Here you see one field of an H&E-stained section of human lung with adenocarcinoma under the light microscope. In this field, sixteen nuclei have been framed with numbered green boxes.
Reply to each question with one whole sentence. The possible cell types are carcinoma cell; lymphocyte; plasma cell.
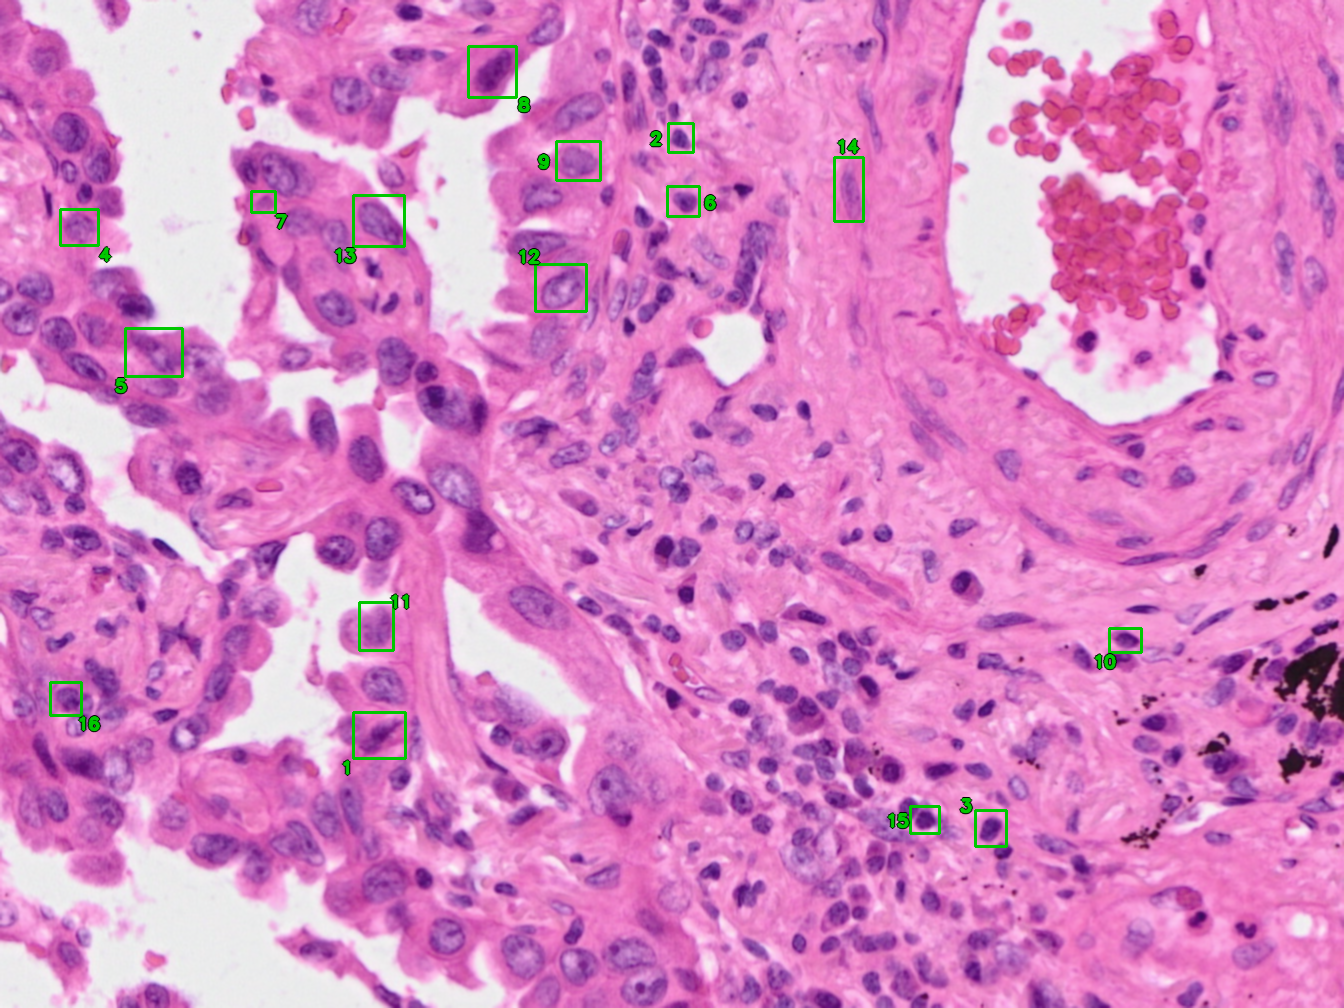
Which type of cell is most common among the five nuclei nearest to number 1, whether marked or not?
Around number 1, most of the five nearest nuclei are those of carcinoma cells.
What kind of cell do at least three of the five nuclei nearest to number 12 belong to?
The majority of the five nuclei closest to number 12 belong to carcinoma cells.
